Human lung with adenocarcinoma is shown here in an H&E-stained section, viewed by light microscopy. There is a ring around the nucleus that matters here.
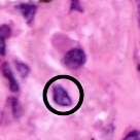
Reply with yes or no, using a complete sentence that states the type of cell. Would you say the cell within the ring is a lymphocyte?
Yes, the cell within the ring represents a lymphocyte in this tissue.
